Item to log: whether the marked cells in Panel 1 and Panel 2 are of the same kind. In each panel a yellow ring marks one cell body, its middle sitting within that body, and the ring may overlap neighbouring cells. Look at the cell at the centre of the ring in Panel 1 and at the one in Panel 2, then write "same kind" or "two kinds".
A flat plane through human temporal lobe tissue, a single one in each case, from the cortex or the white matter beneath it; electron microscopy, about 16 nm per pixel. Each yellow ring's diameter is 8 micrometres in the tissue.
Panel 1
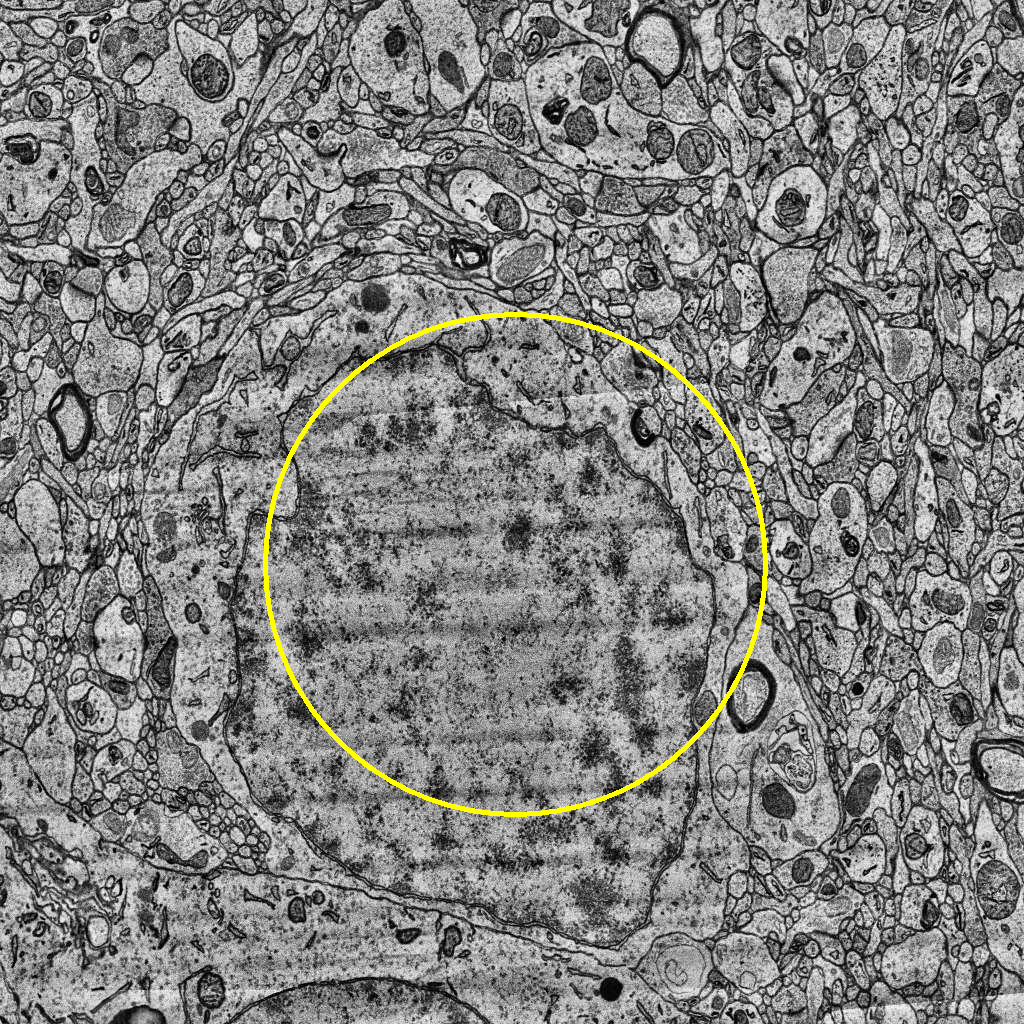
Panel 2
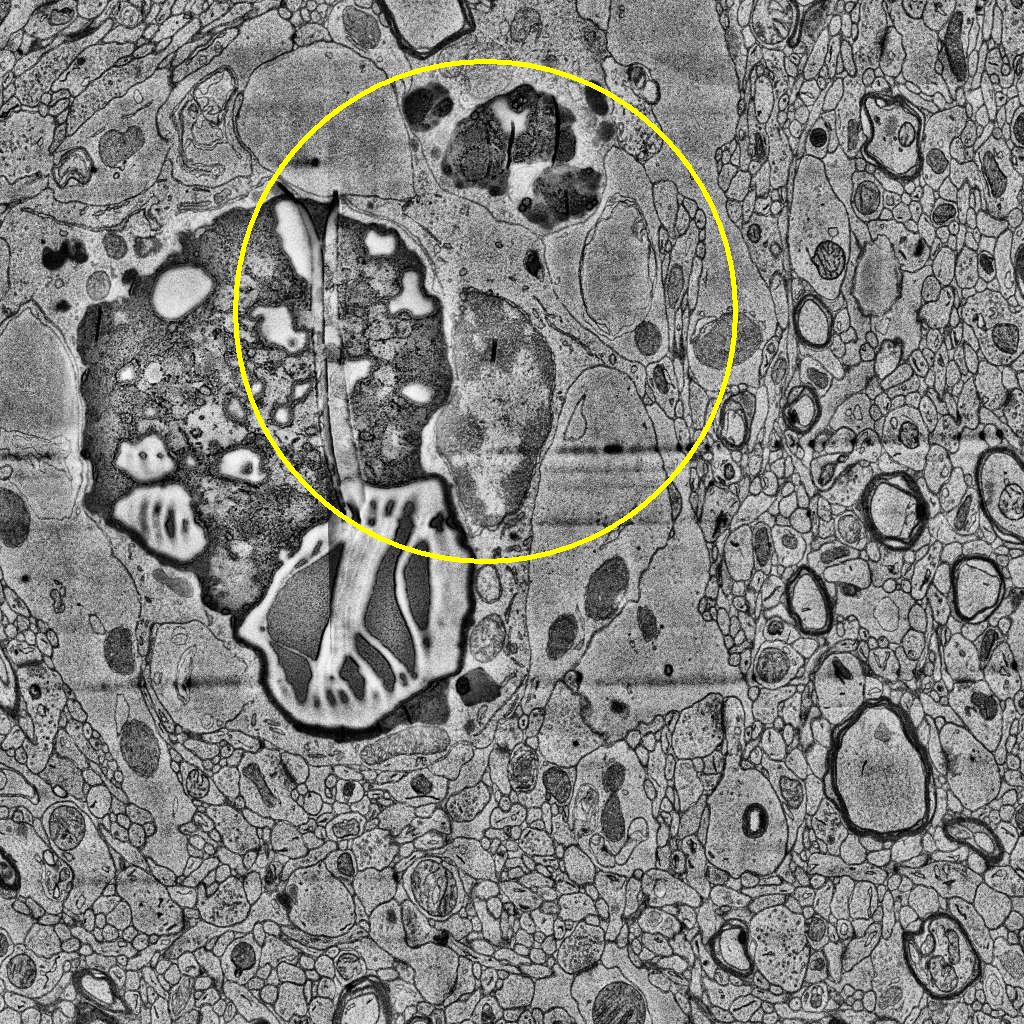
two kinds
